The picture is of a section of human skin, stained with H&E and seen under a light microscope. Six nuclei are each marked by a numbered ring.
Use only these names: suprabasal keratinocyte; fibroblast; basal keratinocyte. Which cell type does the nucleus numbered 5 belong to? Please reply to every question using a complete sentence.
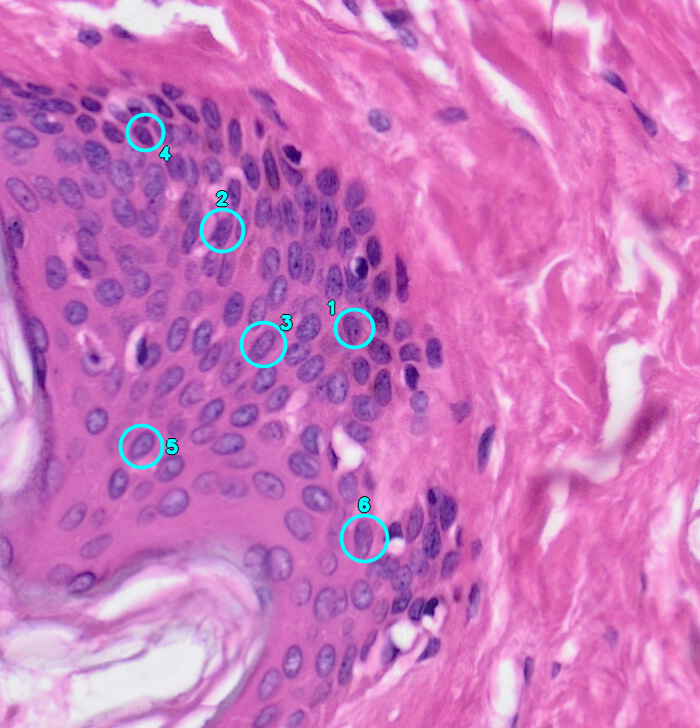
Regarding cell 5, this one is a suprabasal keratinocyte.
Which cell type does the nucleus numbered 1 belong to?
Among the marked cells, number 1 is a basal keratinocyte.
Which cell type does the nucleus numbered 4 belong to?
The cell indicated by marker 4 is a basal keratinocyte in this section.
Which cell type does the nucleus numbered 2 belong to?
That cell with number 2 is a basal keratinocyte.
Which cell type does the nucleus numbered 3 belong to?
The cell bearing label 3 corresponds to a suprabasal keratinocyte.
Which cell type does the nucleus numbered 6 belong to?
The cell indicated with the number 6 is classed as a basal keratinocyte.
